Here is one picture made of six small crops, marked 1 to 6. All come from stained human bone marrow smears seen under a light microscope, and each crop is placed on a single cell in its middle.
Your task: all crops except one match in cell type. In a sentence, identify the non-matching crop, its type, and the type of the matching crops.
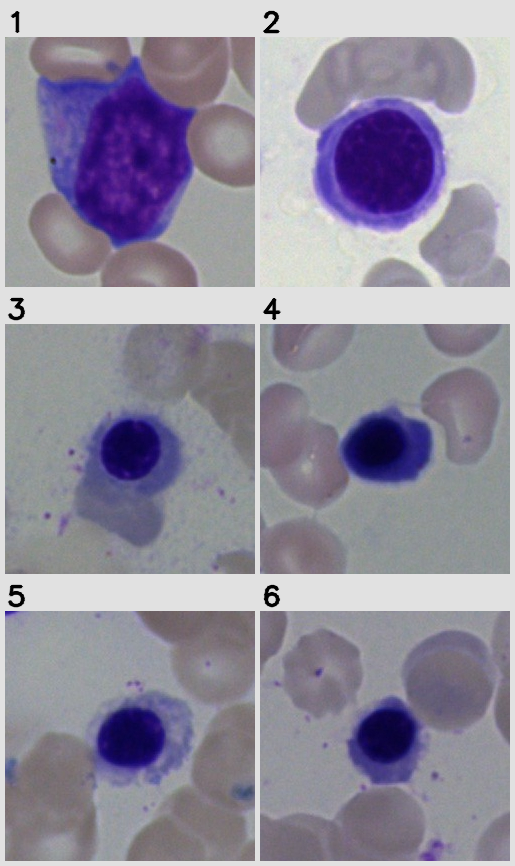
Only one crop differs, namely crop 1, which is a blast; the others show erythroblasts.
